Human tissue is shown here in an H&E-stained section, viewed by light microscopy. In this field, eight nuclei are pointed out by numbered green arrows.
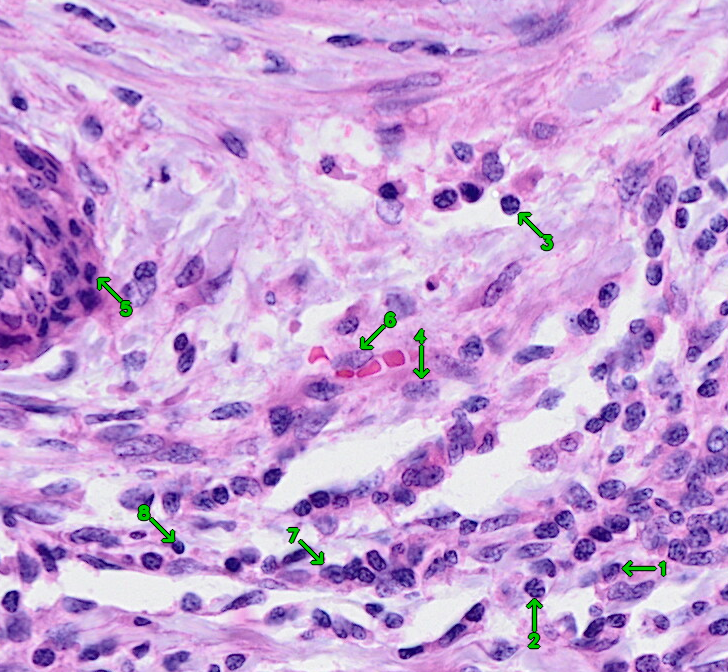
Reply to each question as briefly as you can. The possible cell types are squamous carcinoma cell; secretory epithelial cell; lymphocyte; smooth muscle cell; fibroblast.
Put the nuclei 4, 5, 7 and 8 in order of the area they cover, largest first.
4, 7, 5, 8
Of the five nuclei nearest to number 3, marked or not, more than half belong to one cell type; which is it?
lymphocyte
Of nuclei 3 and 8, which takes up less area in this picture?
8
